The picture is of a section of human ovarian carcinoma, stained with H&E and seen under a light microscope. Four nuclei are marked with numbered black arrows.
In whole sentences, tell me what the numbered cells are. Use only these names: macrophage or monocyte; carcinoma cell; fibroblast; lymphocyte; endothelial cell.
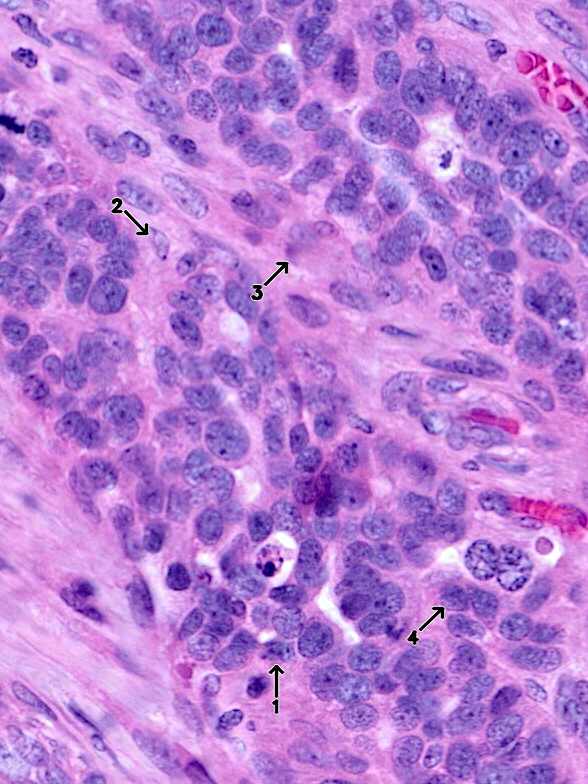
Cell 1 is a macrophage or monocyte, cell 2 is a fibroblast, cell 3 is a fibroblast and cell 4 is a carcinoma cell.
